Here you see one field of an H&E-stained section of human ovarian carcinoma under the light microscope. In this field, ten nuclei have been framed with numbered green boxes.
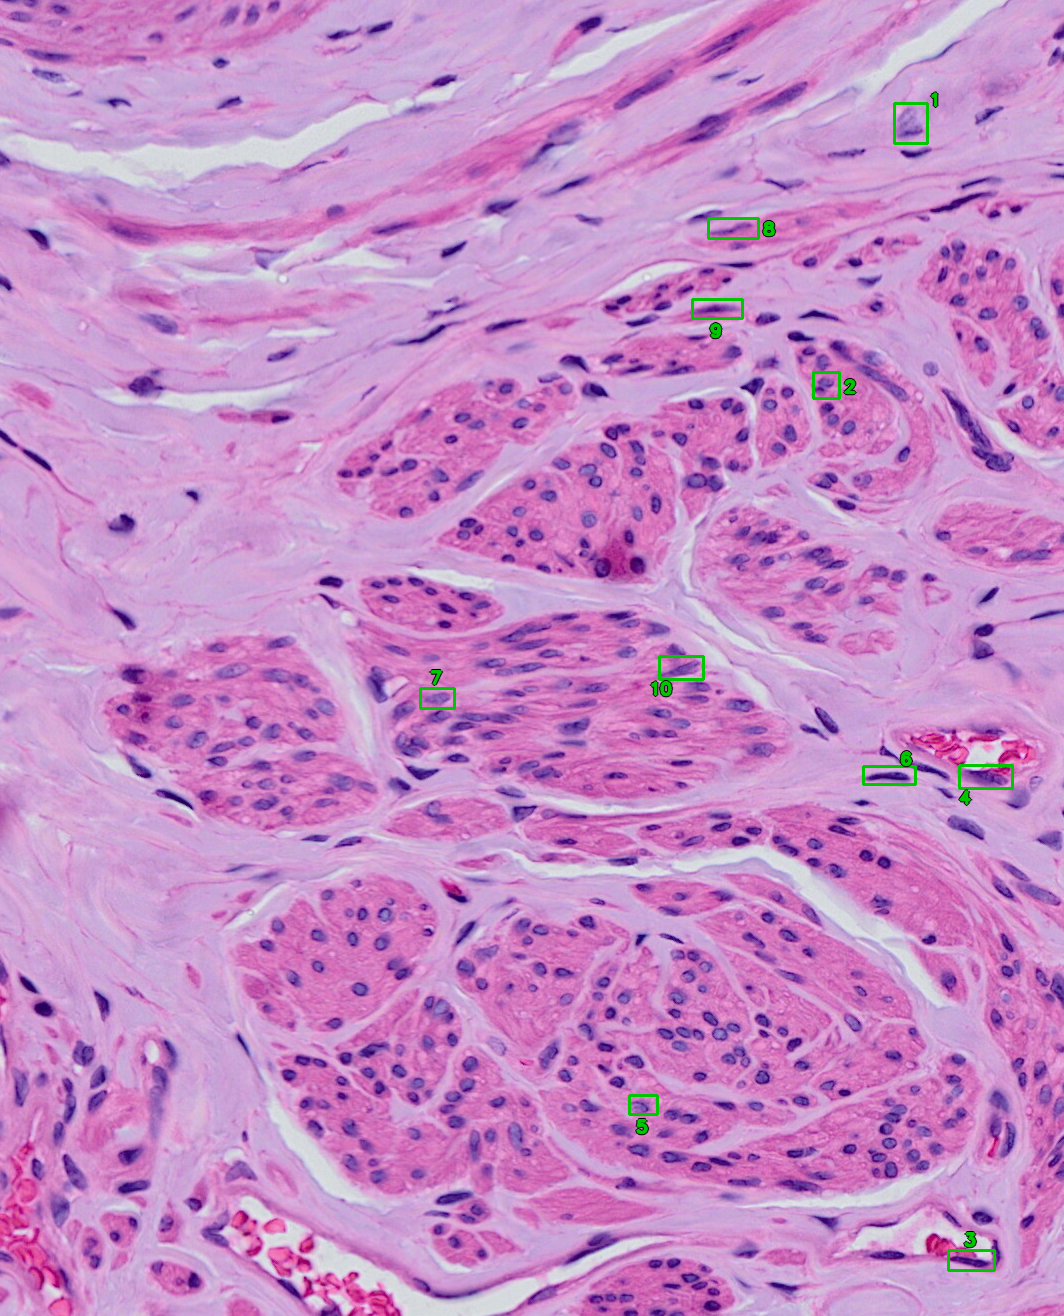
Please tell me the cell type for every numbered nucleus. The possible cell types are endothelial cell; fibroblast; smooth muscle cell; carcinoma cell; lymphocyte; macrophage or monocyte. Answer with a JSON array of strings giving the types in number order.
["fibroblast", "smooth muscle cell", "endothelial cell", "endothelial cell", "smooth muscle cell", "fibroblast", "smooth muscle cell", "smooth muscle cell", "smooth muscle cell", "smooth muscle cell"]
